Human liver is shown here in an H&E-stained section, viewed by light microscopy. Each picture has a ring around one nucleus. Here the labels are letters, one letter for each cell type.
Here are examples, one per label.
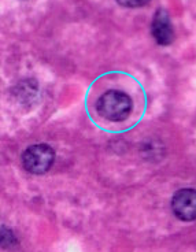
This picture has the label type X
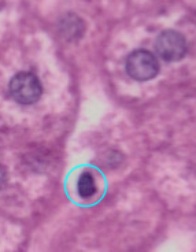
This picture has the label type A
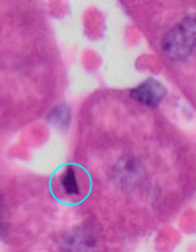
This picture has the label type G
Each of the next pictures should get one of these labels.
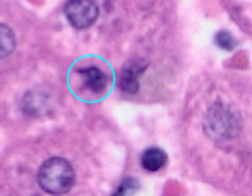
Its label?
type G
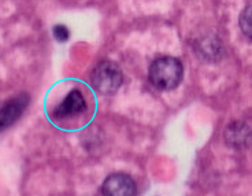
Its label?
type G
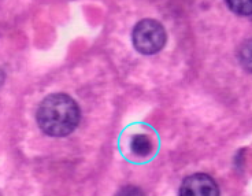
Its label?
type A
